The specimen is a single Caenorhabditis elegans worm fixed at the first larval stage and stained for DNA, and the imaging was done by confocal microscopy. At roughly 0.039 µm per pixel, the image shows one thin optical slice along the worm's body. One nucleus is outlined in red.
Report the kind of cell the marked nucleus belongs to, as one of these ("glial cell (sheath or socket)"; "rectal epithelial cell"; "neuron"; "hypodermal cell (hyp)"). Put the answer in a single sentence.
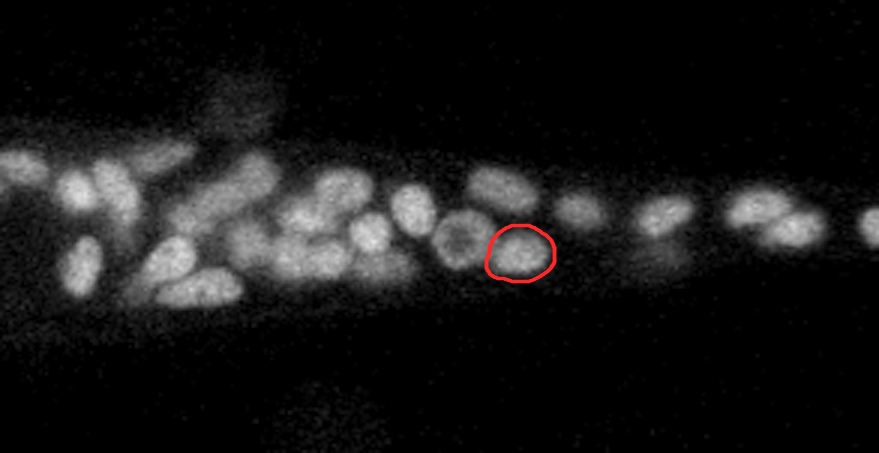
It belongs to a neuron.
